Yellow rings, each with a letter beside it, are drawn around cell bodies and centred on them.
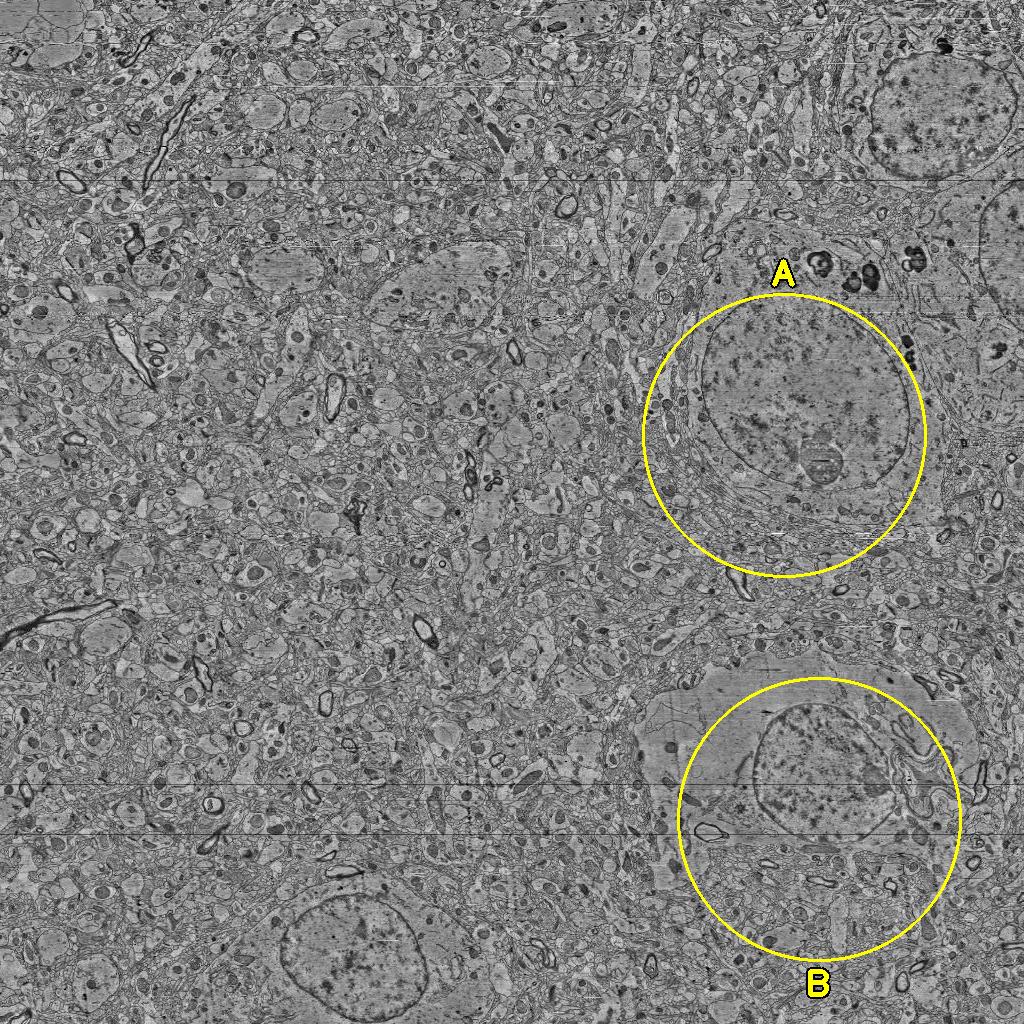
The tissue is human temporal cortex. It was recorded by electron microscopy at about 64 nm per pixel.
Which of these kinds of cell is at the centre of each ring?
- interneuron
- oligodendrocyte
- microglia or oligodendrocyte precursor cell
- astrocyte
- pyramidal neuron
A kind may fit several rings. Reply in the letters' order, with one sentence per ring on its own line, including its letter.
The cell in the middle of ring A is a pyramidal neuron.
The cell in the middle of ring B is an astrocyte.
